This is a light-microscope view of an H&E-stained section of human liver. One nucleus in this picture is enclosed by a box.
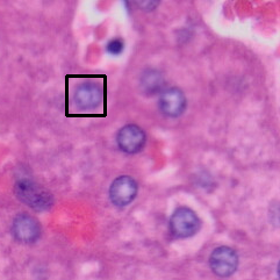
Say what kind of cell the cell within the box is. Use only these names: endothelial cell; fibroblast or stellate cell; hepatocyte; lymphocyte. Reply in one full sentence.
By cell type, the cell within the box is a hepatocyte.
